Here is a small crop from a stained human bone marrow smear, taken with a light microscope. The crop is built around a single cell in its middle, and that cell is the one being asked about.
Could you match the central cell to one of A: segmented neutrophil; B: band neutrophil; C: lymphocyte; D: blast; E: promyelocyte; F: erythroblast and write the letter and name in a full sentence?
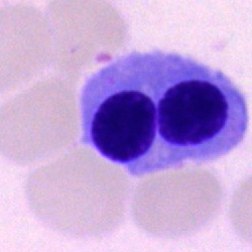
Seen at the centre of the crop is an erythroblast, so option F is correct.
